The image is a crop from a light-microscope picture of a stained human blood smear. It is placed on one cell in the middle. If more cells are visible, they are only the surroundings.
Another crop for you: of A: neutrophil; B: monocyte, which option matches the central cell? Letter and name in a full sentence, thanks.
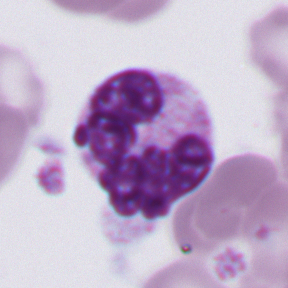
What option A states is correct, the central cell being a neutrophil.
